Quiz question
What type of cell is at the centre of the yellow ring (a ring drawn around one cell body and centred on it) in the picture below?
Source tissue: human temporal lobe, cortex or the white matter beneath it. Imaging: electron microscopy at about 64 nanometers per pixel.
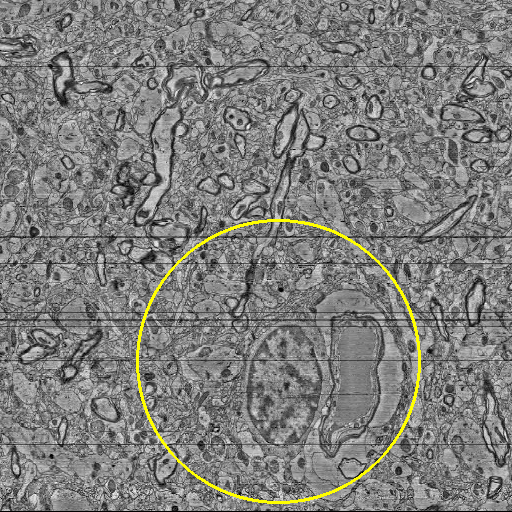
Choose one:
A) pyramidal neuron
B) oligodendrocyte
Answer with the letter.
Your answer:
B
